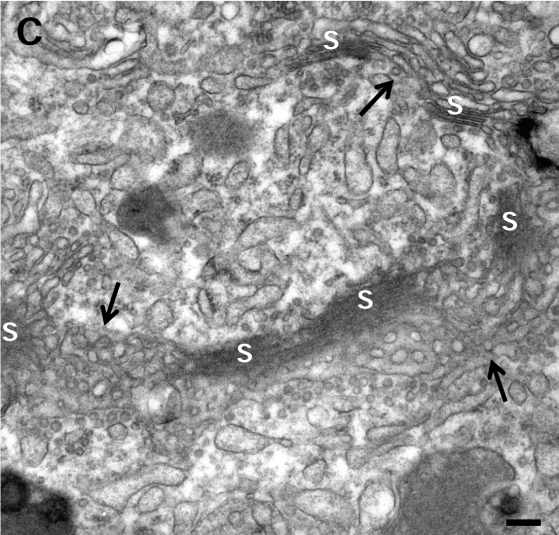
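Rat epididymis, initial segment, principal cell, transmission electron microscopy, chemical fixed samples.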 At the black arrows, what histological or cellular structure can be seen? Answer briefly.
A: tubular networks and/or fenestrated cisternae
